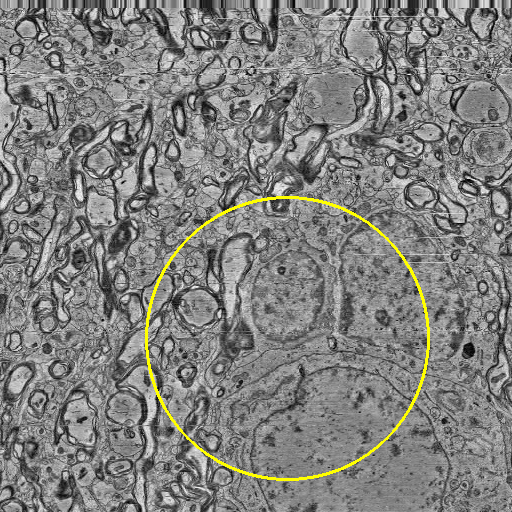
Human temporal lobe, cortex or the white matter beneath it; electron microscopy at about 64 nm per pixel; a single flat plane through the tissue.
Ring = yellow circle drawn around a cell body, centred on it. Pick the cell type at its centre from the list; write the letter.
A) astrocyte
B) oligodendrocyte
B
